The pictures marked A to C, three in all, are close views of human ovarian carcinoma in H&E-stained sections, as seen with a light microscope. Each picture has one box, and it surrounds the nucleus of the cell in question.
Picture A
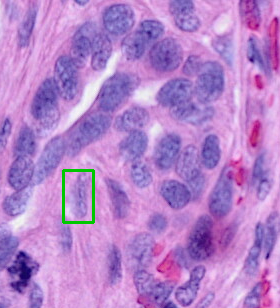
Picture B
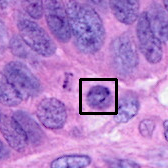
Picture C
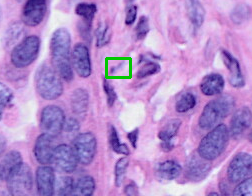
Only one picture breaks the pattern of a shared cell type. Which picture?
B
